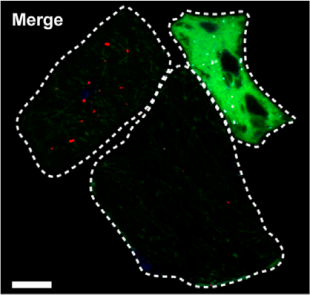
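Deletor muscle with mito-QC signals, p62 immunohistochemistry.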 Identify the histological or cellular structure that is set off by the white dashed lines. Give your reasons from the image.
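Three large polygonal profiles are each traced by a white dashed line.
Conclusion: Fiber borders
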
